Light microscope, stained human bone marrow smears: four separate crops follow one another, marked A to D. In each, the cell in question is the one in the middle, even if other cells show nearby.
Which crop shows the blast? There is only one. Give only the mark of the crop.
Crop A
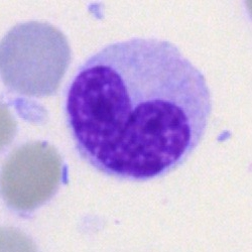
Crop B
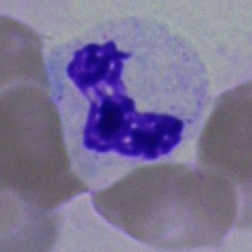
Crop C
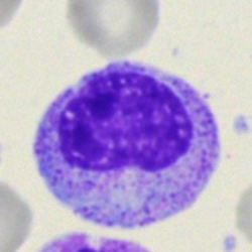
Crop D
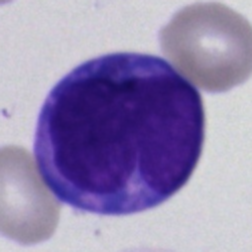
D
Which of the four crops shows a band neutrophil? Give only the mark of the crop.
A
